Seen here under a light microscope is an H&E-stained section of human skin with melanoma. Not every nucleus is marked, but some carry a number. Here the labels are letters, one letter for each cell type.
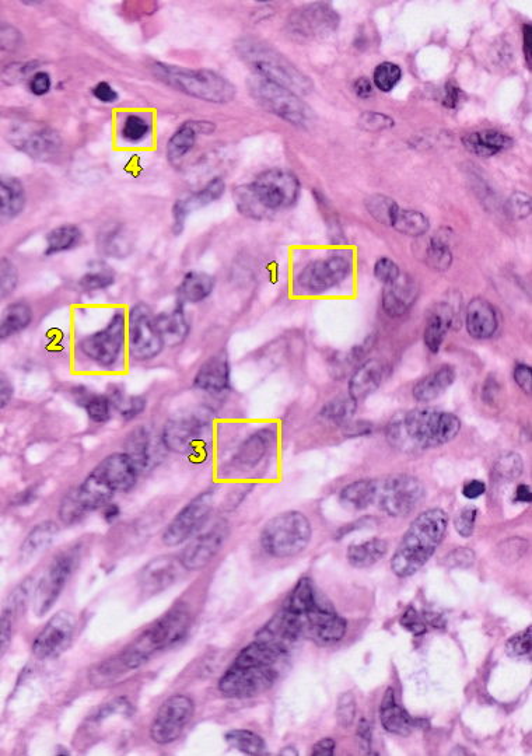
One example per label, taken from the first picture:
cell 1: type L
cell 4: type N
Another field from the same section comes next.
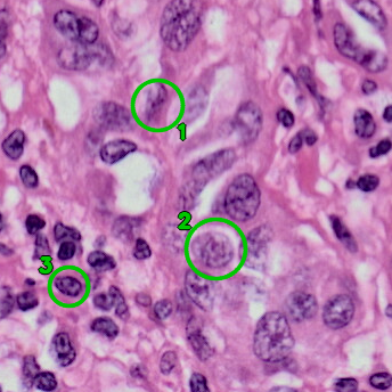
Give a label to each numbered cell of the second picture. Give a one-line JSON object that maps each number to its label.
{"1": "type L", "2": "type L", "3": "type N"}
